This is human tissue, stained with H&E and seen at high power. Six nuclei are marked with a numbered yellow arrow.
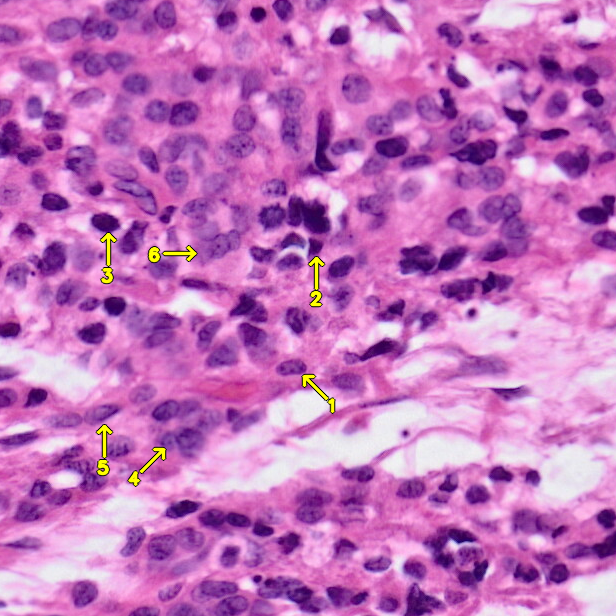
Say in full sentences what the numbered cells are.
Cell 1 is a macrophage or monocyte. Cells 2, 3, 4 and 6 are carcinoma cells. Cell 5 is an endothelial cell.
